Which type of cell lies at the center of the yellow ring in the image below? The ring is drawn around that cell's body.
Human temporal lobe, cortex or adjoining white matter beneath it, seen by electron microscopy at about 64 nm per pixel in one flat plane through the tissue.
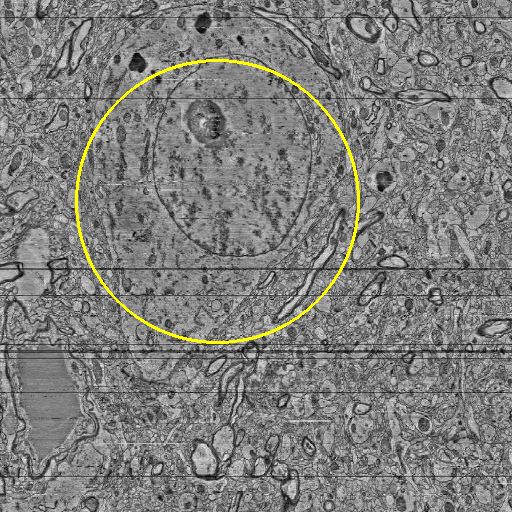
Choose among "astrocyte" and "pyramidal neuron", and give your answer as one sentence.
The cell body at the center belongs to a pyramidal neuron.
